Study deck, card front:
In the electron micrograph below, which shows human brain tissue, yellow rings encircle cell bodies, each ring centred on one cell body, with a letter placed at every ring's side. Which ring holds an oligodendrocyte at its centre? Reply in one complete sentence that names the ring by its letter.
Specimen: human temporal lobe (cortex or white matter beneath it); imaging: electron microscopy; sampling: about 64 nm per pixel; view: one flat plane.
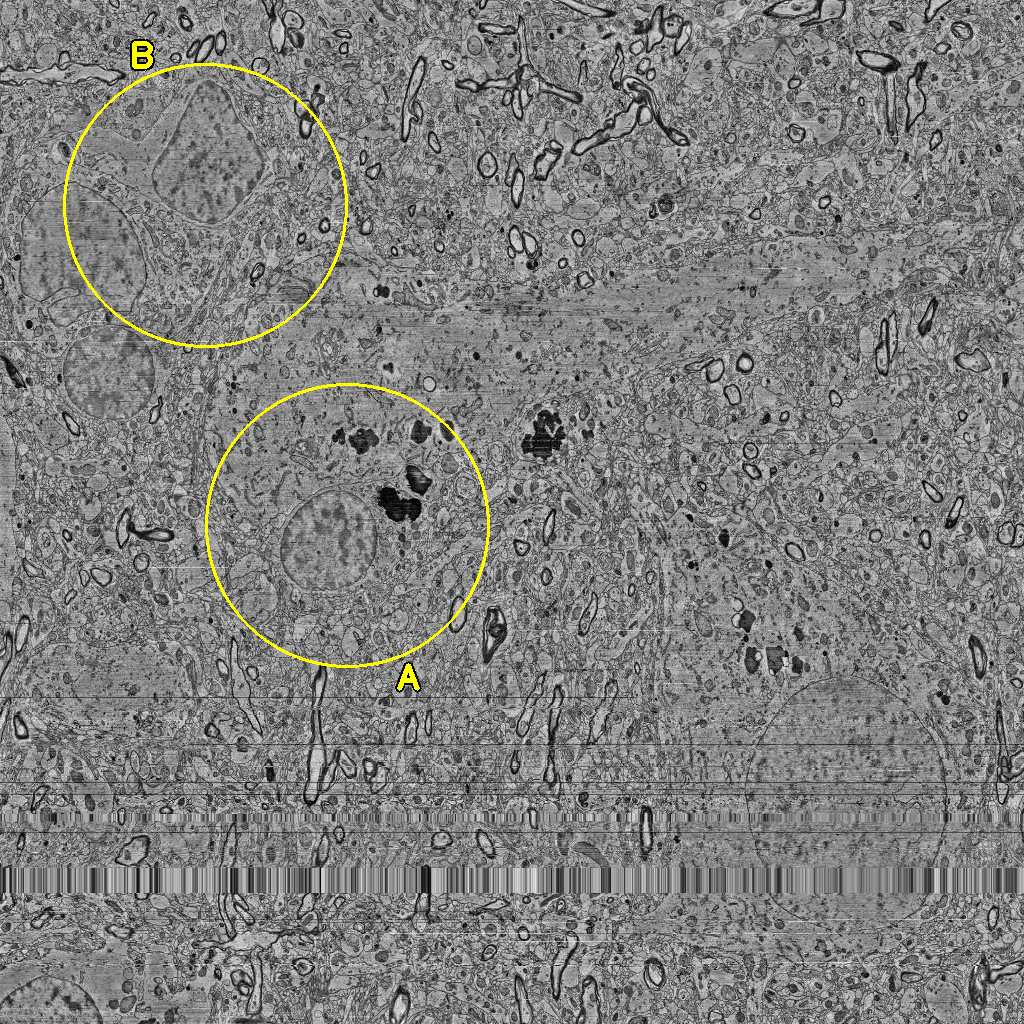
The cell asked for sits at the centre of ring A in the picture.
